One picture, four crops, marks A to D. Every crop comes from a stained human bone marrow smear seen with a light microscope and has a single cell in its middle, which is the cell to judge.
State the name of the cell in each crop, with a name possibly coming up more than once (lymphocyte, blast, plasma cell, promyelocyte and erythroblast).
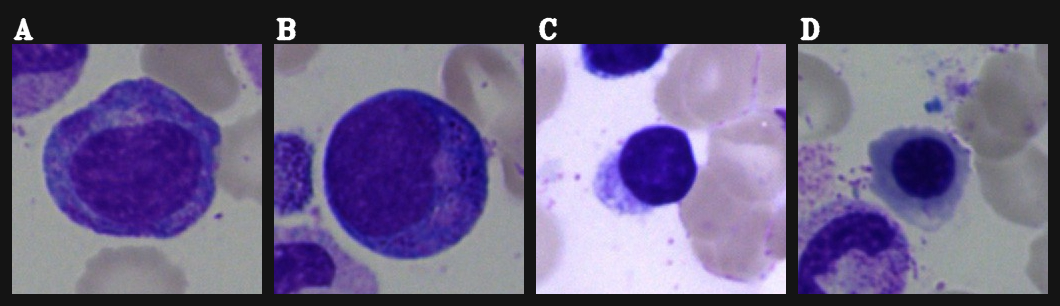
A: promyelocyte
B: promyelocyte
C: lymphocyte
D: erythroblast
